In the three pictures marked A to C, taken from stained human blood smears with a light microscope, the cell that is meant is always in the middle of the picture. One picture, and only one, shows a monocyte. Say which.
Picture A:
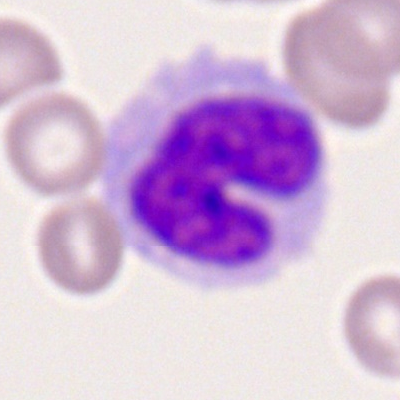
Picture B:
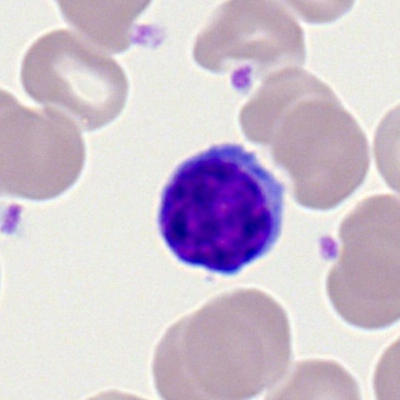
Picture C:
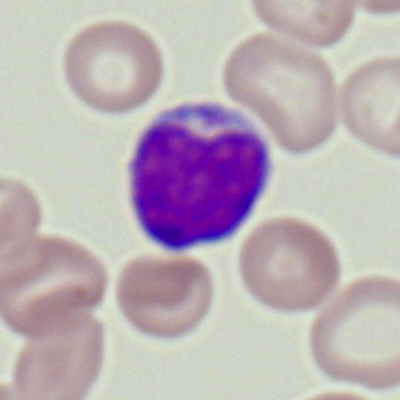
A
